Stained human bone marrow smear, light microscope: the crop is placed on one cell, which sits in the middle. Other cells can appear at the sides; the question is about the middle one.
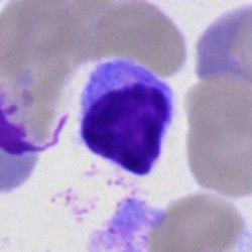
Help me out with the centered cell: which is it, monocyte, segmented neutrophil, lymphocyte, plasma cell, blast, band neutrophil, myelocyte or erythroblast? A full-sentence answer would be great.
Here the centrally located cell is a lymphocyte.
